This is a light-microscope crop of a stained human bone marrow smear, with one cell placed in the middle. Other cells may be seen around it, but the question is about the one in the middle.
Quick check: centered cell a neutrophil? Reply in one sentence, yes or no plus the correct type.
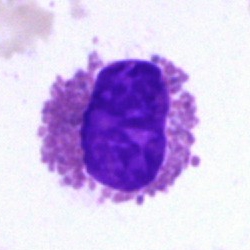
No, a neutrophil is not what the central cell is; it is an eosinophil.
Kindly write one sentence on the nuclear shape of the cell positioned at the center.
The cell carries one compact nucleus shaped round, oval or like a kidney.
